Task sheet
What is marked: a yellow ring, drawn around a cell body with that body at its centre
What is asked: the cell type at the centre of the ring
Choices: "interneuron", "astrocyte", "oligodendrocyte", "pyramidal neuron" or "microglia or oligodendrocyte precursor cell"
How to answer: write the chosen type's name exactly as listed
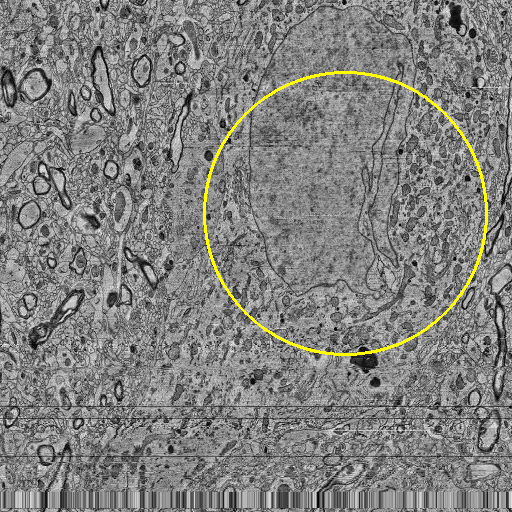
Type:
pyramidal neuron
